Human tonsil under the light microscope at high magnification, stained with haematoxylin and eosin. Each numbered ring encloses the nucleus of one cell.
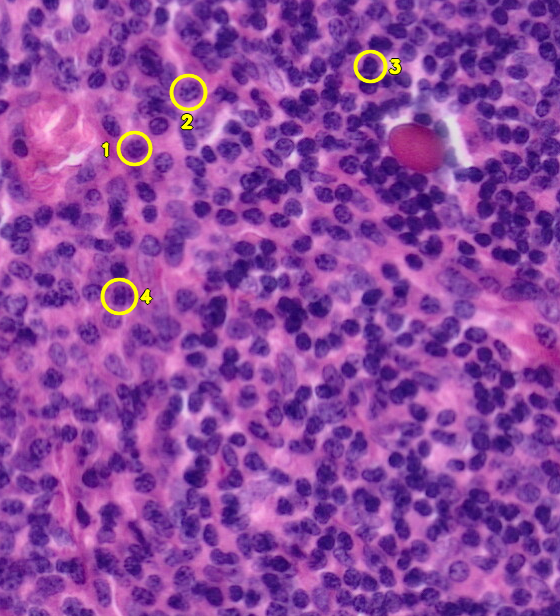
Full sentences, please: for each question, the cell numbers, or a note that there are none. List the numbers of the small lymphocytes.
Cell 3 represents a small lymphocyte, and no other numbered cell does.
